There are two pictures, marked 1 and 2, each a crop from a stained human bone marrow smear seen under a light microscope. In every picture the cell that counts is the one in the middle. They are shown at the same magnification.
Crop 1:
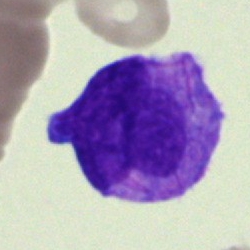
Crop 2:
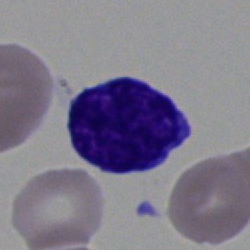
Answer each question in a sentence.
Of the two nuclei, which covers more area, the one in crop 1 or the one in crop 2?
The nucleus in crop 1 is larger, with about 1.5 times the area of the one in crop 2.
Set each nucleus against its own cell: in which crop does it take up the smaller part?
It is the cell in crop 1 that is filled less by its nucleus.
